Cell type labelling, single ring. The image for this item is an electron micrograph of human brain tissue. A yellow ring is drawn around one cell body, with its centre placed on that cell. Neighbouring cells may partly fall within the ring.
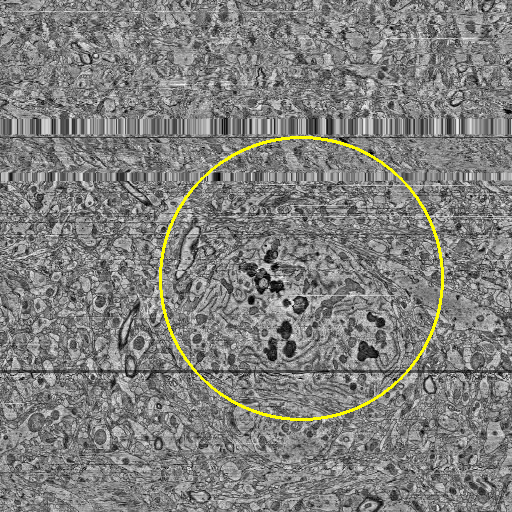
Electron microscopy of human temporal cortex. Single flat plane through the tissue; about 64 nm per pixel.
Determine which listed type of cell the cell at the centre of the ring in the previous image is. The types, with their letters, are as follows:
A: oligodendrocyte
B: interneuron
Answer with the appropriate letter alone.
B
